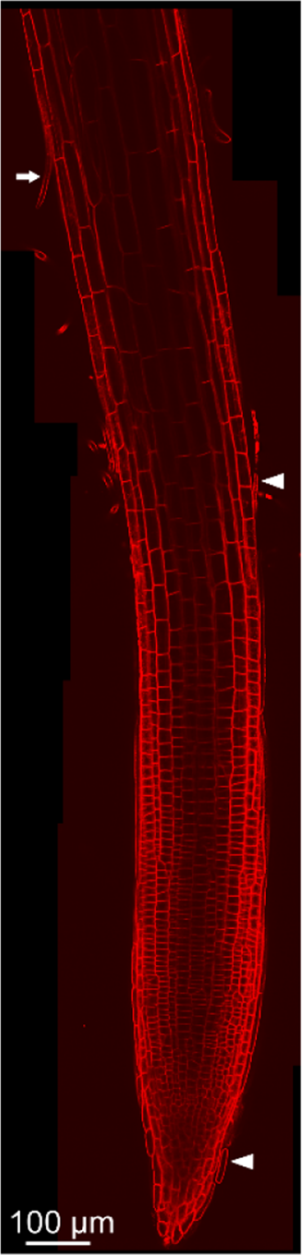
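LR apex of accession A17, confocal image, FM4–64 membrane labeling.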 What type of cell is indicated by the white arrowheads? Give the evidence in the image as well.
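The arrowheads point to cells lying at the outer surface of the root, separate from the cell files. One arrowhead lies near the root tip, the other higher along the flank. The answer: detached root cap cells.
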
